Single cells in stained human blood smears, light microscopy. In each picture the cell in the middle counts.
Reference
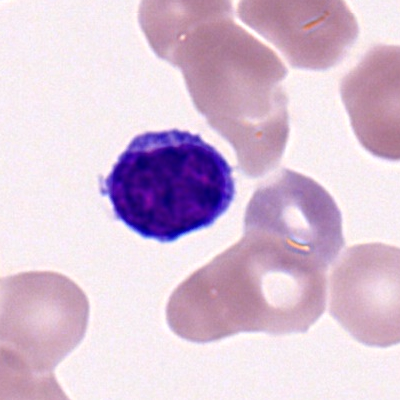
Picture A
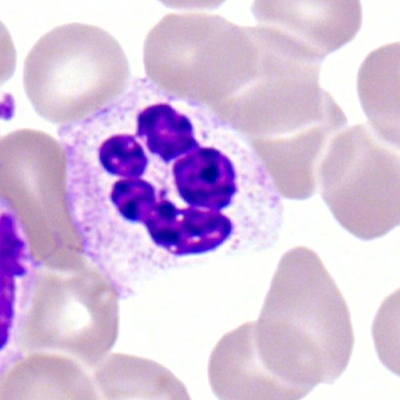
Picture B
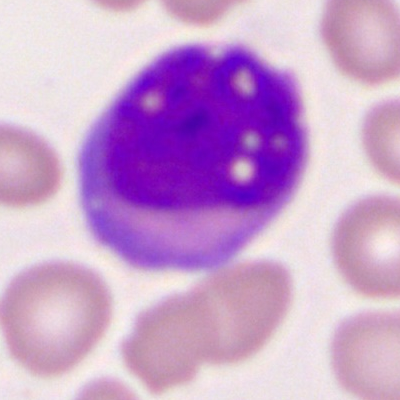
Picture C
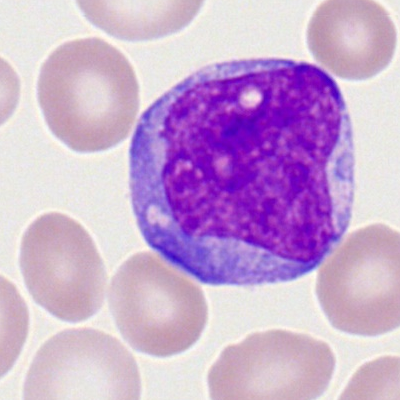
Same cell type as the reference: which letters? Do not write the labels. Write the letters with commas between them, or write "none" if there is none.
none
